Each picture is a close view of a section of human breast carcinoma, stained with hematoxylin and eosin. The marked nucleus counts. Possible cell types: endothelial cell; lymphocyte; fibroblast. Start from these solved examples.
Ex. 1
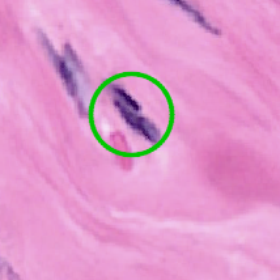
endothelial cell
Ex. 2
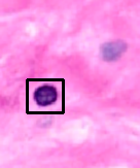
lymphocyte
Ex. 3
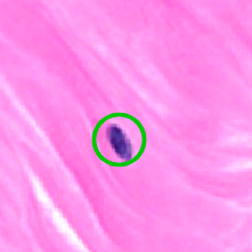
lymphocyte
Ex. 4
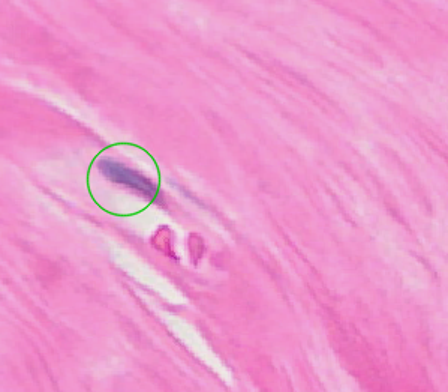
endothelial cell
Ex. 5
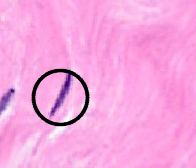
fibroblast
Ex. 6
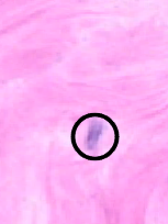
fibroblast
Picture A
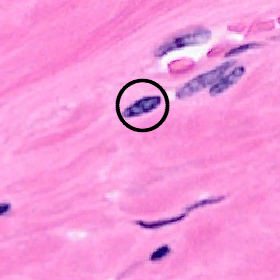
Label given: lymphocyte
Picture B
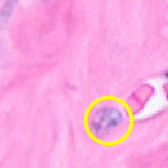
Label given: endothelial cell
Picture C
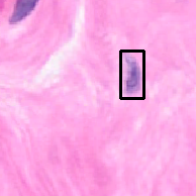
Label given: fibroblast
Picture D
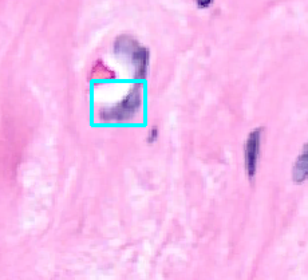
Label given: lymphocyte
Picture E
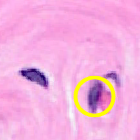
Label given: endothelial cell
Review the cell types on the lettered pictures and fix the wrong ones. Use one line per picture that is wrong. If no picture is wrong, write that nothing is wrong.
D is labelled lymphocyte; correct label: endothelial cell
